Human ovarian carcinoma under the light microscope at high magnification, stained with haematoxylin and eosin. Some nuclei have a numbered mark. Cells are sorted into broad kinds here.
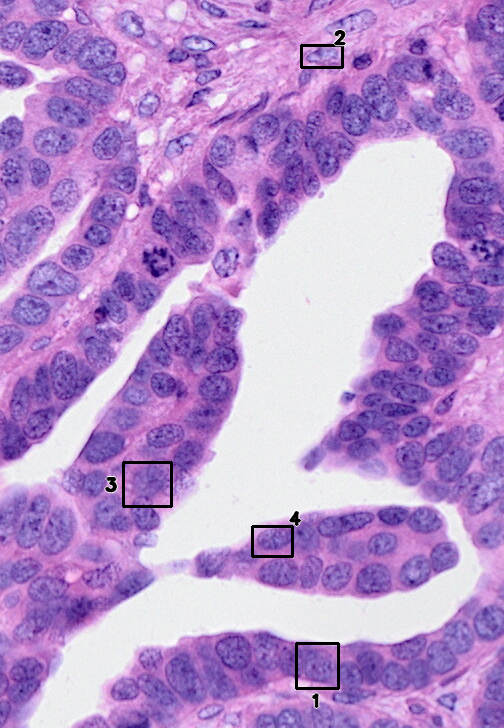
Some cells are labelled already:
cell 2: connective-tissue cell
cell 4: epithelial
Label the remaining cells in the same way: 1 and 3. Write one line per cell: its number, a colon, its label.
1: epithelial
3: epithelial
